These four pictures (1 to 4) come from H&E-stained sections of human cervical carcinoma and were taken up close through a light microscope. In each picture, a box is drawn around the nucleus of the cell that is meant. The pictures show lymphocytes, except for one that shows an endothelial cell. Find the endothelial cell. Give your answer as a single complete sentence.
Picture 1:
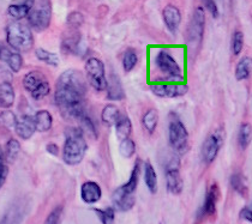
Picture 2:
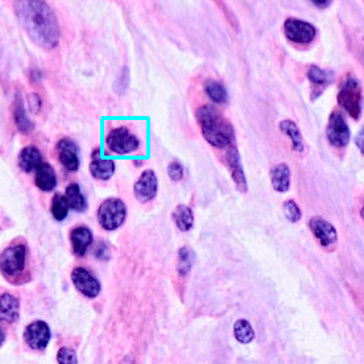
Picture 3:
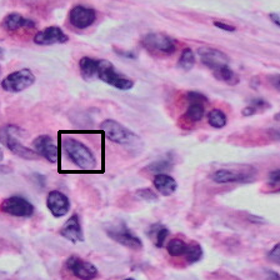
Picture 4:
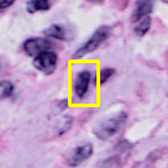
It is picture 3 that shows the endothelial cell.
